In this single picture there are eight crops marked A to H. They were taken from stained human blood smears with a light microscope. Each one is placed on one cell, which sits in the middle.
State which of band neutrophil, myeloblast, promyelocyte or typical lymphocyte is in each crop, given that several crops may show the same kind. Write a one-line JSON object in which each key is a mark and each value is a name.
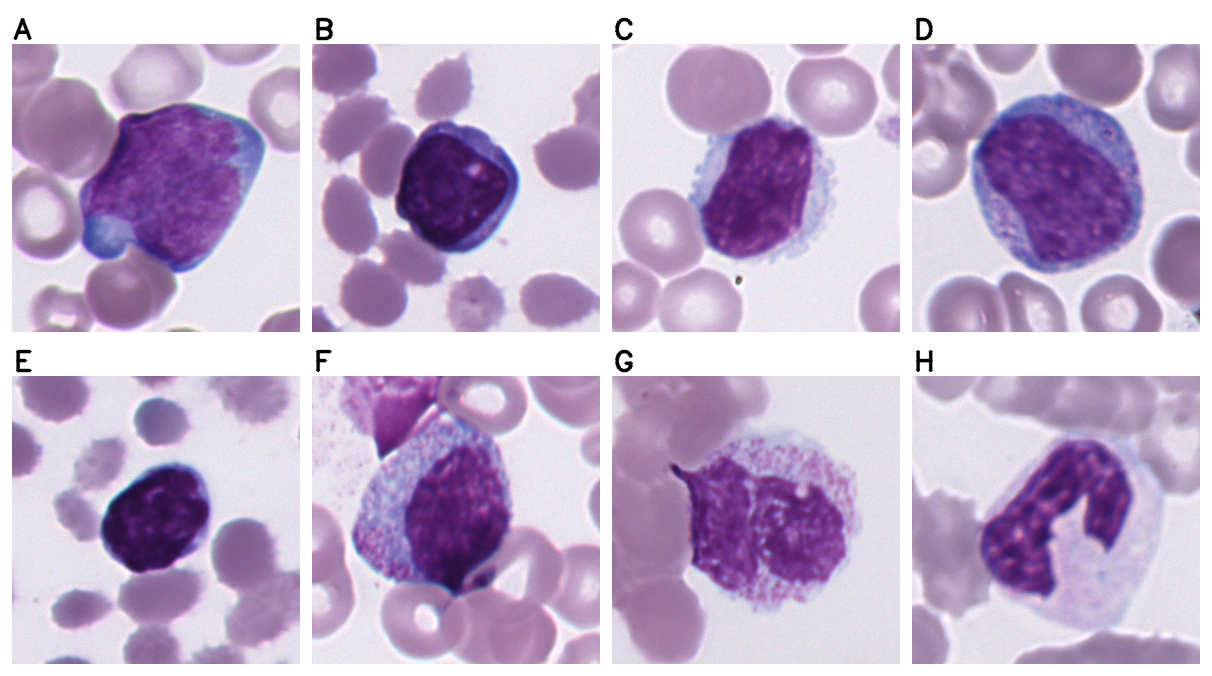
{"A": "myeloblast", "B": "typical lymphocyte", "C": "typical lymphocyte", "D": "promyelocyte", "E": "typical lymphocyte", "F": "promyelocyte", "G": "band neutrophil", "H": "band neutrophil"}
